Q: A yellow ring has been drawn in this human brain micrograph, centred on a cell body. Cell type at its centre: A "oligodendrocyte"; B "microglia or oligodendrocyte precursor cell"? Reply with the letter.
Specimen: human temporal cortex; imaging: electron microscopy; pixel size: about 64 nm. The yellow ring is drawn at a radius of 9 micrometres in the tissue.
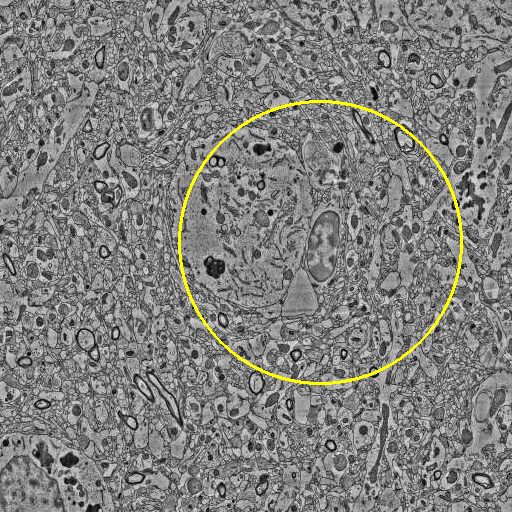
B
